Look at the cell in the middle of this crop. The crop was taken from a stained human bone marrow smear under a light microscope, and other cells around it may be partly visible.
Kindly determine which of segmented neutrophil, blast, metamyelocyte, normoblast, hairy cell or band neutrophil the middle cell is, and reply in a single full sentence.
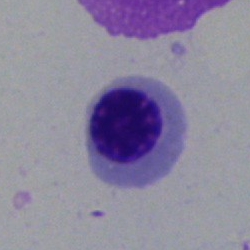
The cell that lies at the centre of the crop is a normoblast.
